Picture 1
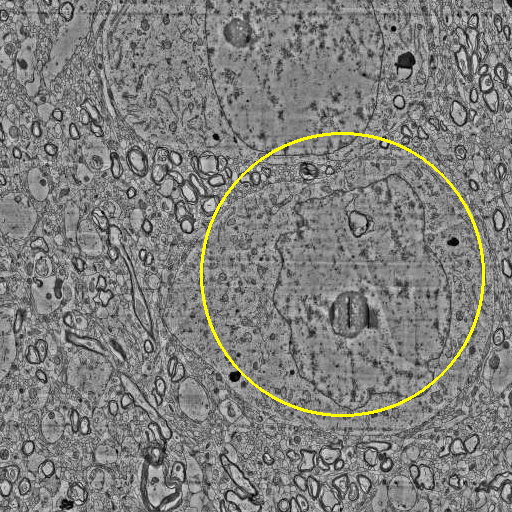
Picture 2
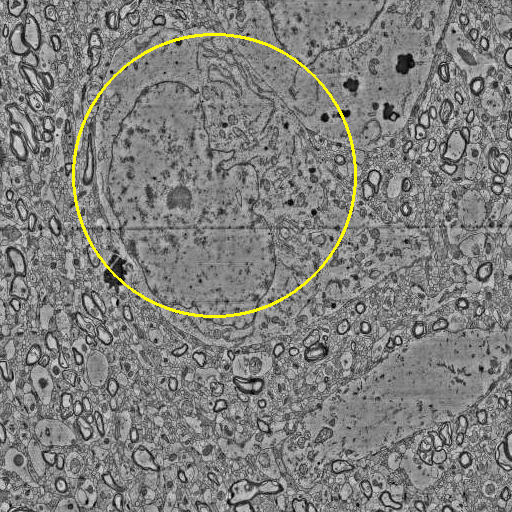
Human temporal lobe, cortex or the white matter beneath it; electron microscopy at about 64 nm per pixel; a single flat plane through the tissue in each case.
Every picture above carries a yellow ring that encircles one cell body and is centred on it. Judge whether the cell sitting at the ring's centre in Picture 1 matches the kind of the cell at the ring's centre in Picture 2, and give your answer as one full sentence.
Yes, the cells centred in the rings of Pictures 1 and 2 belong to one kind.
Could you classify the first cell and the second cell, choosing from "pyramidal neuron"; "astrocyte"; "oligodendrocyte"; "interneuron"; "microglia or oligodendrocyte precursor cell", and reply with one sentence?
In both pictures the ring is centred on a pyramidal neuron.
